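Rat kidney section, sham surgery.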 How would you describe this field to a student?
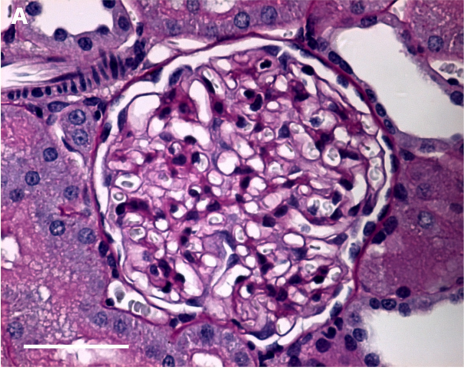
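A glomerulus sits in the middle of renal cortex, surrounded by tubules. Its tuft is made of many small, open capillary loops with thin magenta walls, and dark, compact nuclei lie scattered between the loops. A thin clear rim, the urinary space, separates the tuft from a delicate capsule lined by flat cells.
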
